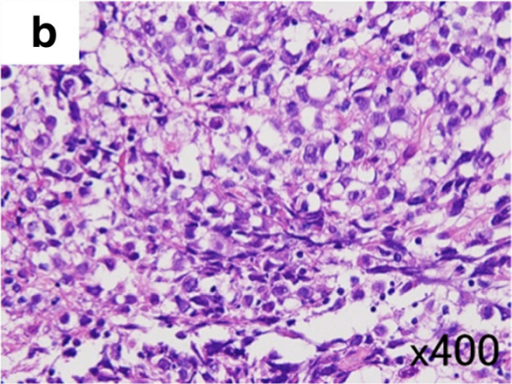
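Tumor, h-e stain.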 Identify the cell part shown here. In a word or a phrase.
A: vacuolated cytoplasm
